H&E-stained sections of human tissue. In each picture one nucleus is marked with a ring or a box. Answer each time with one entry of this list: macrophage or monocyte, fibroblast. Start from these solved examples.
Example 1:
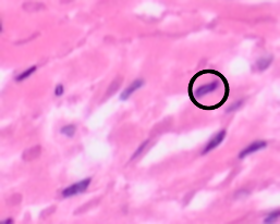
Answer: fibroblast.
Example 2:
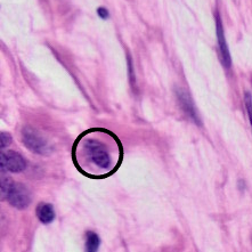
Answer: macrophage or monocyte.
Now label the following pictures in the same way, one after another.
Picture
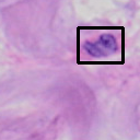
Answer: macrophage or monocyte.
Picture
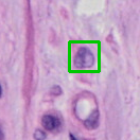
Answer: macrophage or monocyte.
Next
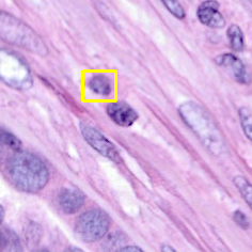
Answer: macrophage or monocyte.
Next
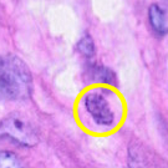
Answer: macrophage or monocyte.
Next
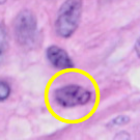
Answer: macrophage or monocyte.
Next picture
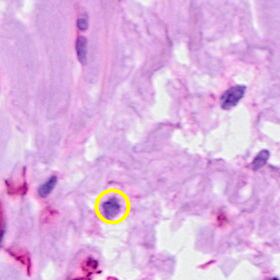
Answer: macrophage or monocyte.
